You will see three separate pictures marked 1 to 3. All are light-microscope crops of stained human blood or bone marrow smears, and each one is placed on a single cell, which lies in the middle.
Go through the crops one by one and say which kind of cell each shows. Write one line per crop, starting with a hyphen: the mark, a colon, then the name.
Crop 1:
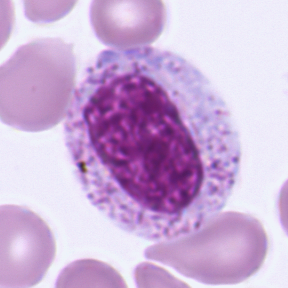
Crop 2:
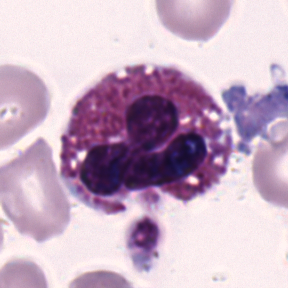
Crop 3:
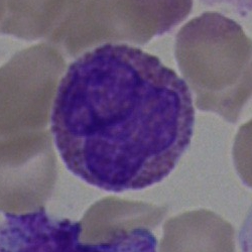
- 1: myelocyte
- 2: eosinophil
- 3: eosinophil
